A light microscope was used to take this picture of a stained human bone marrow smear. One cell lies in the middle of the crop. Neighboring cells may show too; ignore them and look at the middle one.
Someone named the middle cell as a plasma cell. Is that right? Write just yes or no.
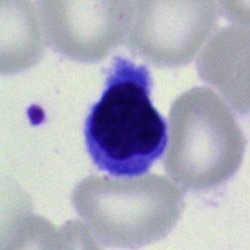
no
